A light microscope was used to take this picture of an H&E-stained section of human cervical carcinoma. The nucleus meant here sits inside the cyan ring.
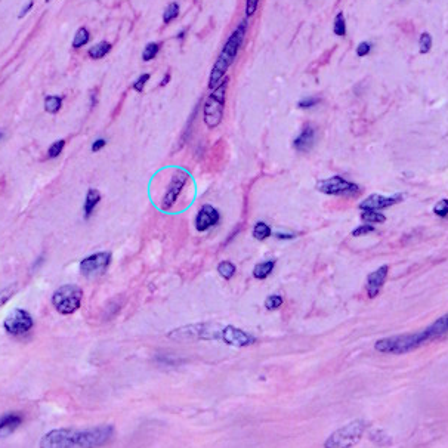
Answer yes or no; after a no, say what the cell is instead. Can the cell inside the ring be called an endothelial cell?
Yes.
